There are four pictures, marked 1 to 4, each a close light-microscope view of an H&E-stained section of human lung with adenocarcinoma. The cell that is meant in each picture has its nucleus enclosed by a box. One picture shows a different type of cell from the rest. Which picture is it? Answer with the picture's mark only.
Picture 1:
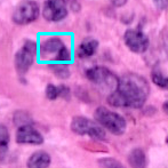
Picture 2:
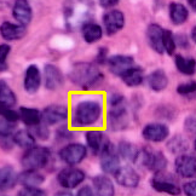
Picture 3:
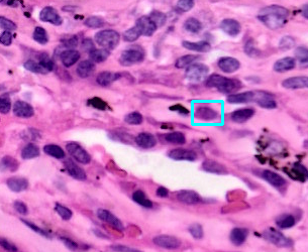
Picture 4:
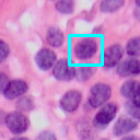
3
